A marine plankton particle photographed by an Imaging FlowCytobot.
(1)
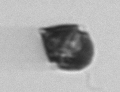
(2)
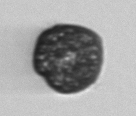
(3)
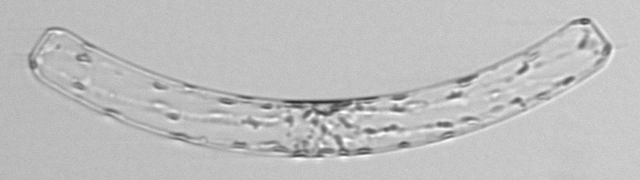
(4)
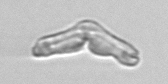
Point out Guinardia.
That is picture 3.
